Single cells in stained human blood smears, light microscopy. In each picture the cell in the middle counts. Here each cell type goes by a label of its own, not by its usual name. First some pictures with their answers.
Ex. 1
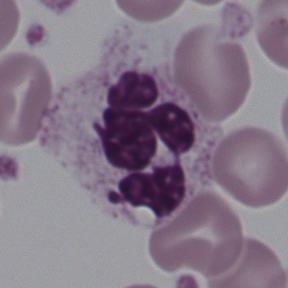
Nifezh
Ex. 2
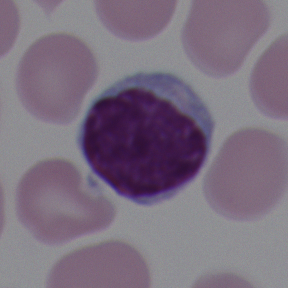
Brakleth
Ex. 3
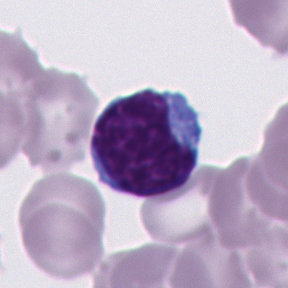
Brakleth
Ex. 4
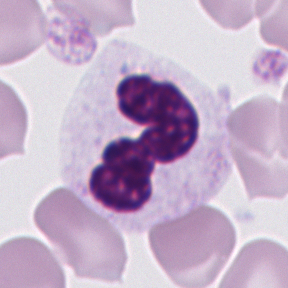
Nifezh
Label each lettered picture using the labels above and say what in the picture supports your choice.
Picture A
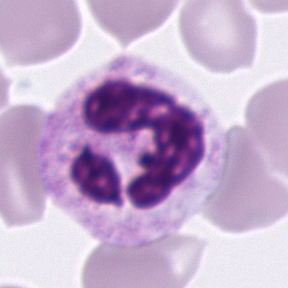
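Answer: Nifezh. The cytoplasm is plentiful and pale pinkish-lilac.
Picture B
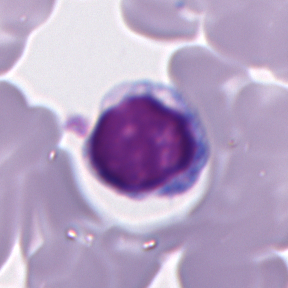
Answer: Brakleth. The cytoplasm forms only a narrow rim around the nucleus.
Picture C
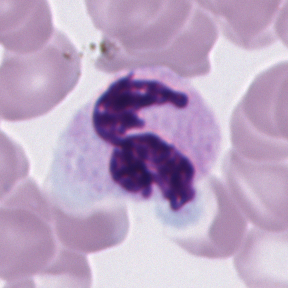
Answer: Nifezh. The nucleus forms a thick S-shaped band running from the top of the cell to the lower right.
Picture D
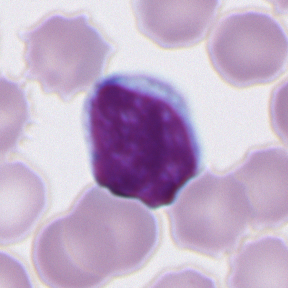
Answer: Brakleth. The cytoplasm forms only a narrow rim that is broadest along the top of the cell.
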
